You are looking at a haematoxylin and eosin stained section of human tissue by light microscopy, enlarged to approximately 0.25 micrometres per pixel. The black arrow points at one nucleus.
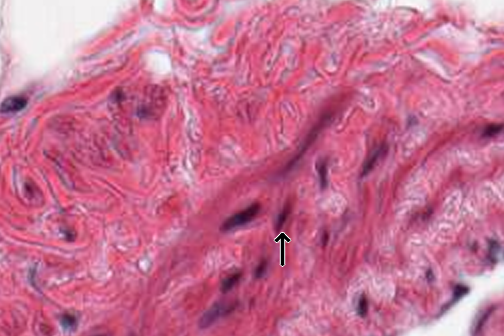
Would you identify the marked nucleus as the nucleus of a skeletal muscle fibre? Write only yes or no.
no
